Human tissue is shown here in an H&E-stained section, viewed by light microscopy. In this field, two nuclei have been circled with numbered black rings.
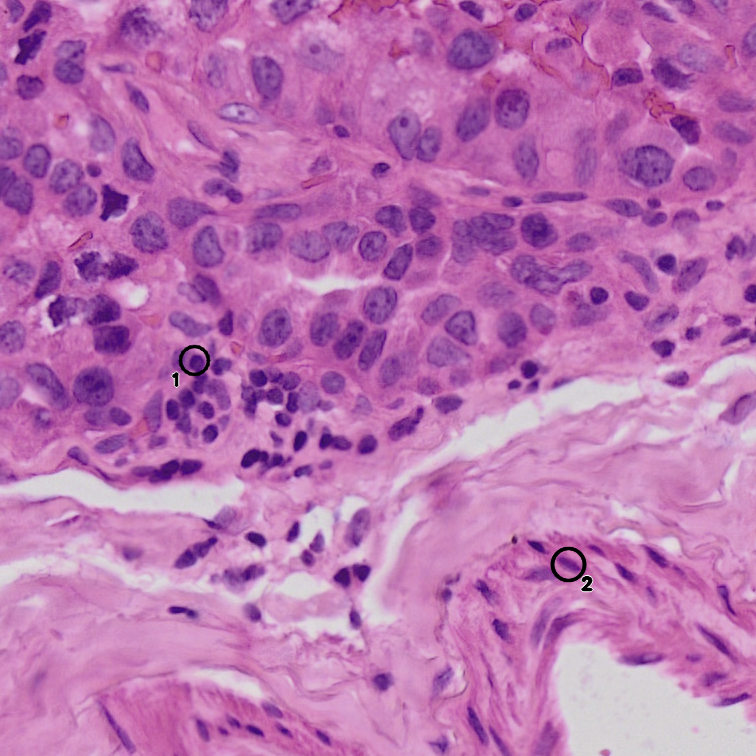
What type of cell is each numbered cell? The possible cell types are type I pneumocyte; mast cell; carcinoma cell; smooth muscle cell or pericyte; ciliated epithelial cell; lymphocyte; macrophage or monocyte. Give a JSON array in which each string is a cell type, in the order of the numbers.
["lymphocyte", "smooth muscle cell or pericyte"]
